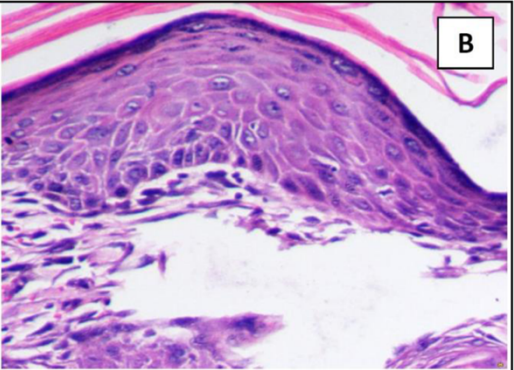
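Skin with a thick stratified epidermis made of many rows of polygonal keratinocytes, each with a central round nucleus and pale pink cytoplasm, becoming flatter toward the surface, where a darker thin layer and detached pink keratin strands lie. Beneath the epidermis lies loose connective tissue of the dermis with scattered spindle-shaped nuclei and a wide clear cleft.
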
